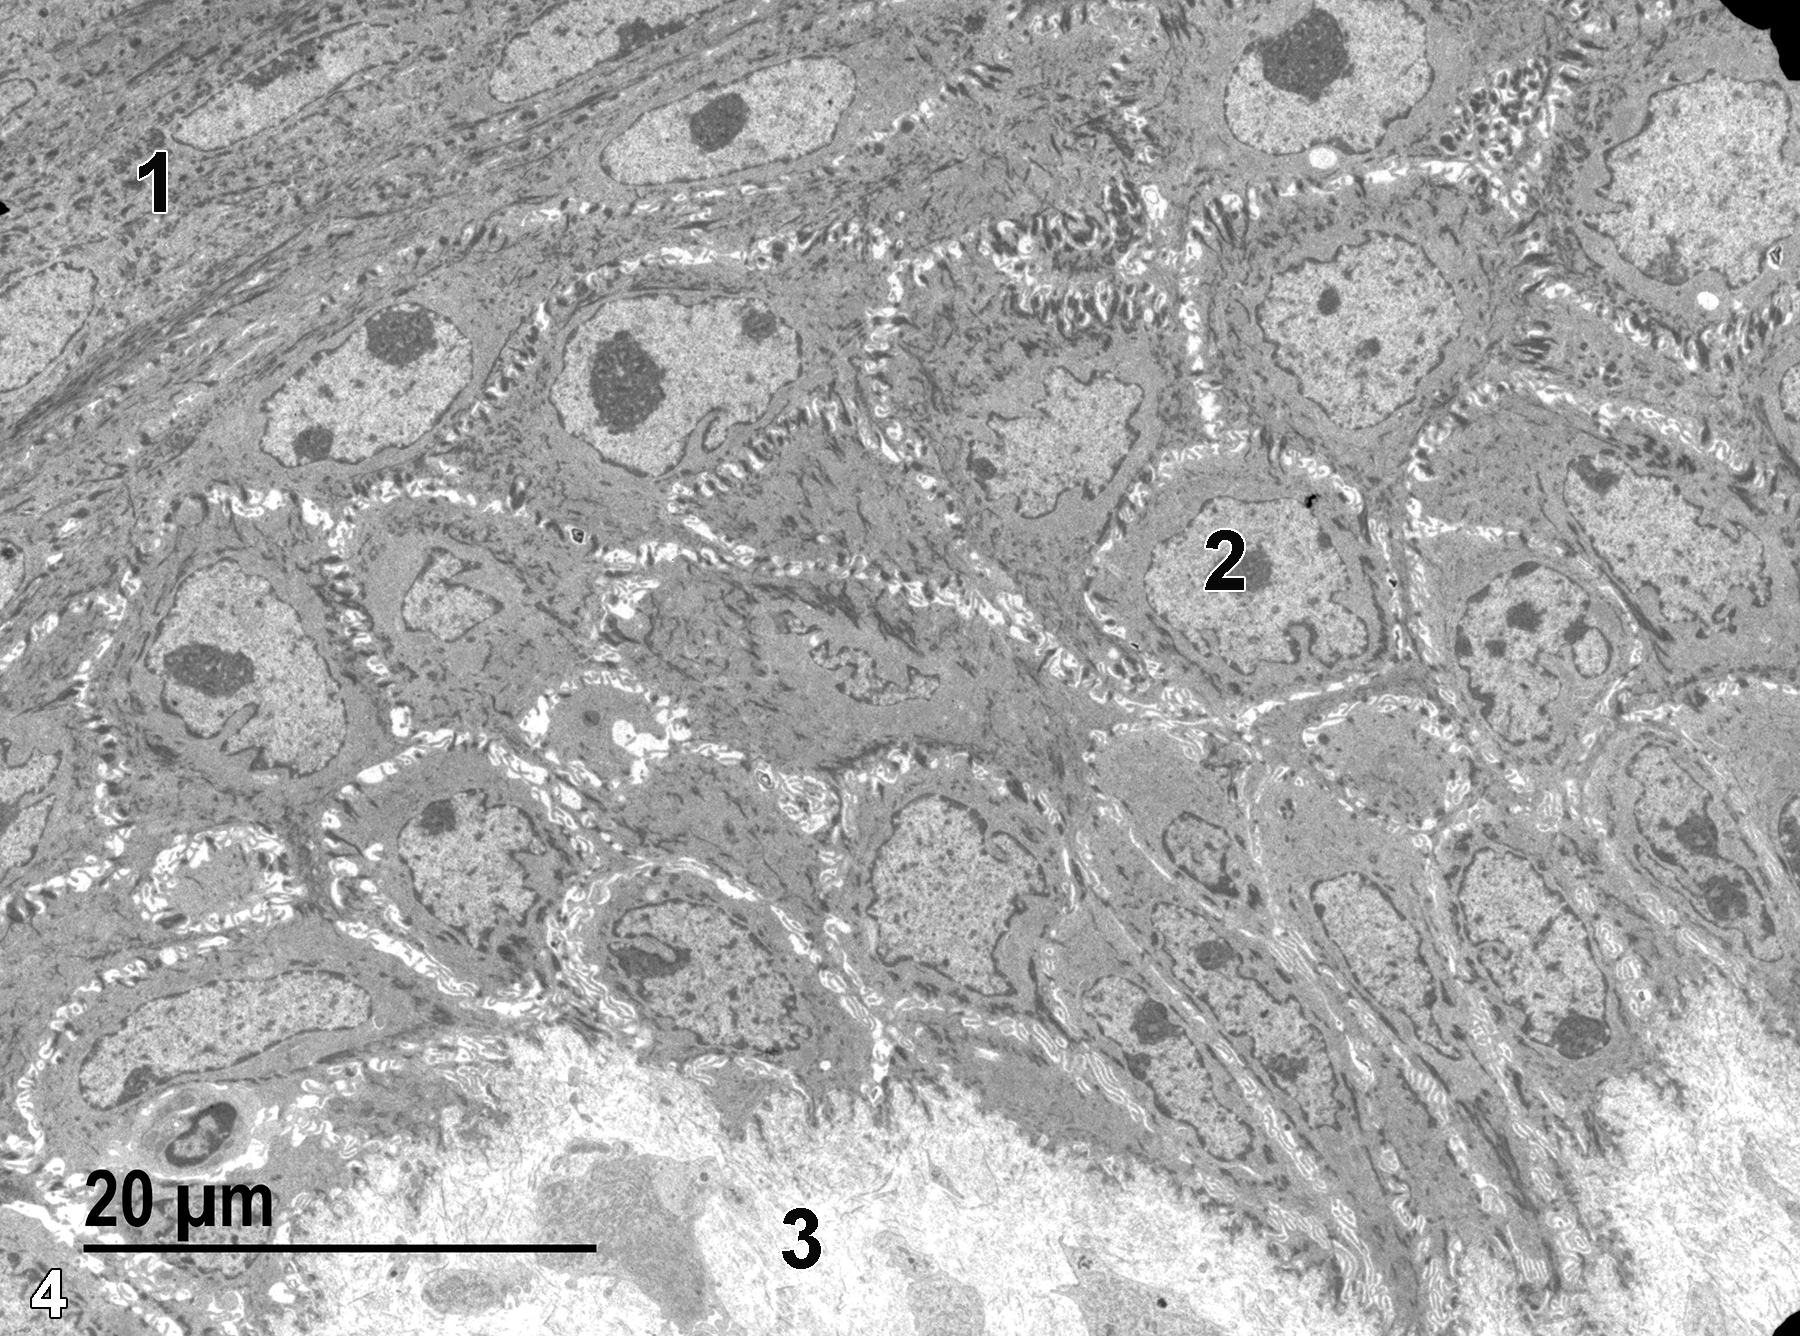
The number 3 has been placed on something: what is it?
Connective tissue of the lamina propria.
